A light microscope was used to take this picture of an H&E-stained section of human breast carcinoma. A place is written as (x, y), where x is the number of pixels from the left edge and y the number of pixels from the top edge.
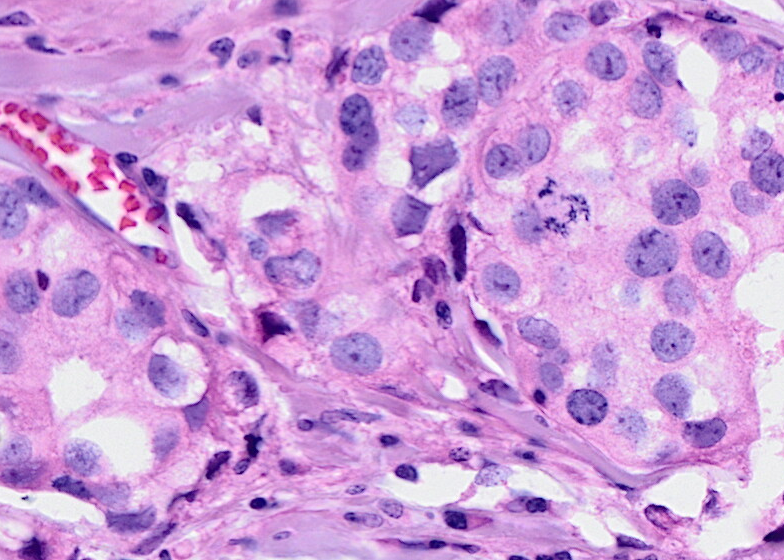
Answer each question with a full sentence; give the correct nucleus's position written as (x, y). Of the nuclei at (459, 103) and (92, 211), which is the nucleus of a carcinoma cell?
Of the two nuclei, the one at (459, 103) belongs to a carcinoma cell.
